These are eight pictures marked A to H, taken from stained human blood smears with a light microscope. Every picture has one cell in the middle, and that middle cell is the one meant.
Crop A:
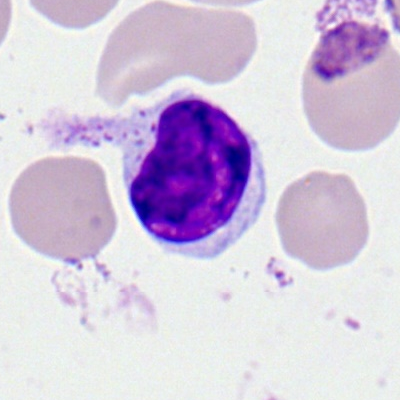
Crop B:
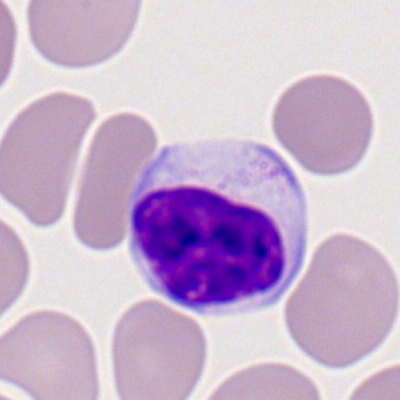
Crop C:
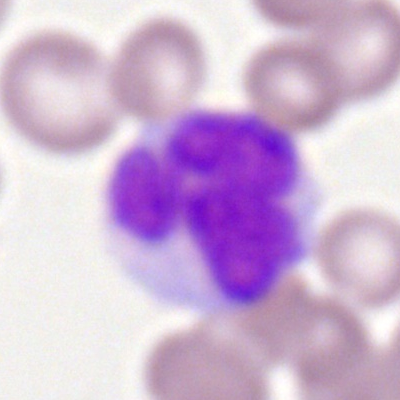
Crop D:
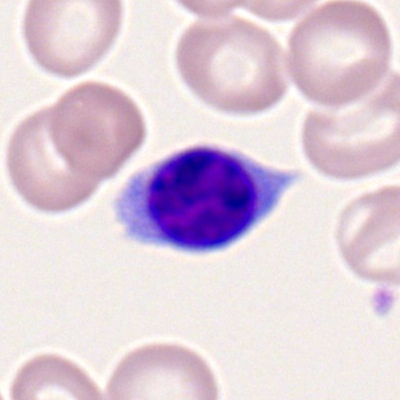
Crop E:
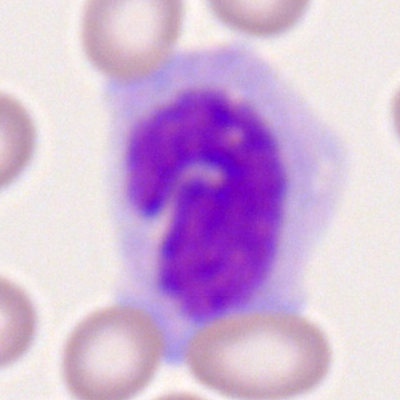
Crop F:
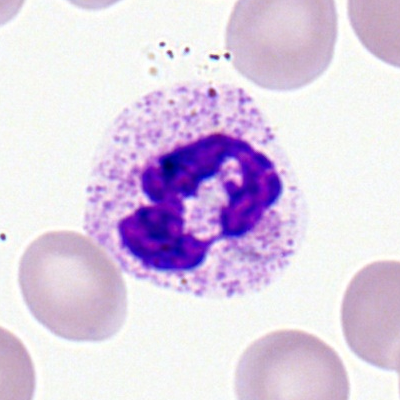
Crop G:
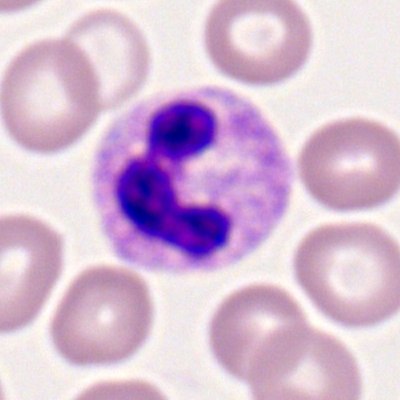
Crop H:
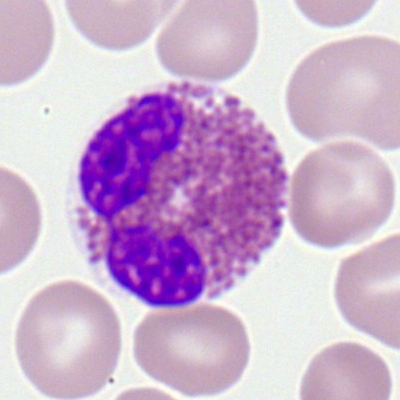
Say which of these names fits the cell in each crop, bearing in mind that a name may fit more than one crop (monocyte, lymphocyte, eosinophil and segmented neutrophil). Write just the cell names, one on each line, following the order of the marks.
lymphocyte
lymphocyte
monocyte
lymphocyte
monocyte
segmented neutrophil
segmented neutrophil
eosinophil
